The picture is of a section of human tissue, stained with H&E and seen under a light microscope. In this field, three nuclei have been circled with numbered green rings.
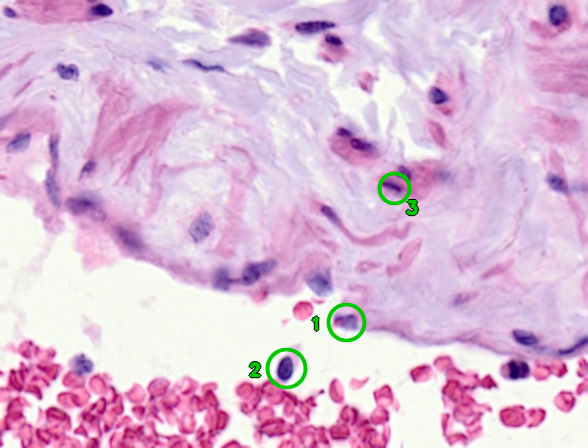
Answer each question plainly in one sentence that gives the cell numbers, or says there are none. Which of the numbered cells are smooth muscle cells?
Cell number 3 alone is a smooth muscle cell; the rest are not.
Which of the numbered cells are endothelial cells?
As for the numbered cells, only cell 1 is an endothelial cell.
